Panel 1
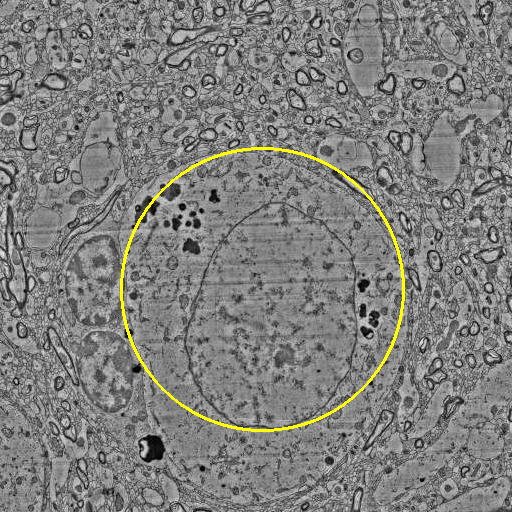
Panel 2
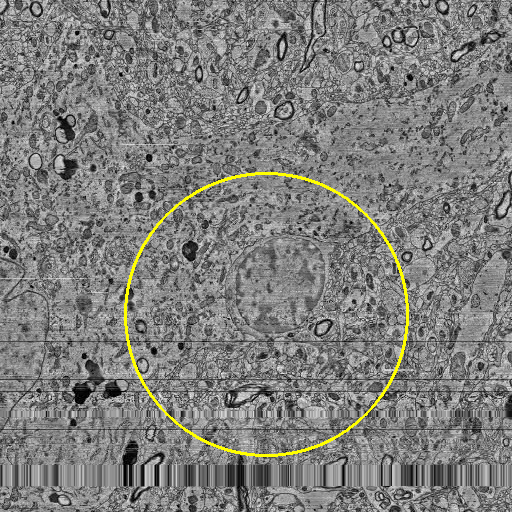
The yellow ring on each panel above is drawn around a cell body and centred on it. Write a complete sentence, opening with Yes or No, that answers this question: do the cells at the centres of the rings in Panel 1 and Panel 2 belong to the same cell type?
No, the two cells belong to two cell types.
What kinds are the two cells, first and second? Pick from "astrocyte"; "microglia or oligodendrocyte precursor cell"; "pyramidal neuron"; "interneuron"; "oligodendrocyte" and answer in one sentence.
The second picture holds an oligodendrocyte in its ring, and the first holds a pyramidal neuron.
